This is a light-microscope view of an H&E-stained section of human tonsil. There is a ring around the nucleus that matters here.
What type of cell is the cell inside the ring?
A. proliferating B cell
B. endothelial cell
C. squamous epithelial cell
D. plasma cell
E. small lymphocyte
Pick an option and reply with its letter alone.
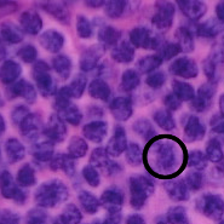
E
